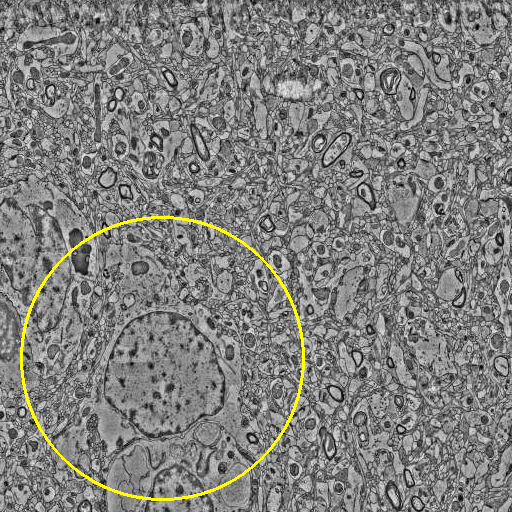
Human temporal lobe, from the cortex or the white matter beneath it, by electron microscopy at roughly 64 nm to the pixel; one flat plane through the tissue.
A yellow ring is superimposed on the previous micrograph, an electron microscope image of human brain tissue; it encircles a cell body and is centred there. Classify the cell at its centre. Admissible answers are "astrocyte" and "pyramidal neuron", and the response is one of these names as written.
astrocyte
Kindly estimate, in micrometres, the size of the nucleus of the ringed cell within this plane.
About 8 micrometres across, as seen in this plane.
